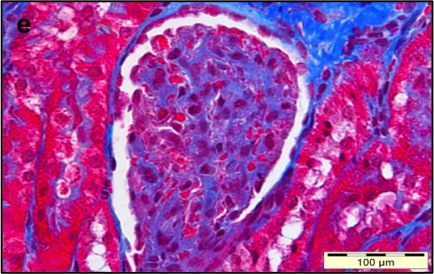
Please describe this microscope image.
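Kidney cortex with an enlarged glomerulus whose tuft is crowded with nuclei and contains blue-stained material. A wide clear space separates the tuft from a capsule bordered by dense blue-staining tissue. Surrounding tubule cells are red, several with pale vacuolated cytoplasm.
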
